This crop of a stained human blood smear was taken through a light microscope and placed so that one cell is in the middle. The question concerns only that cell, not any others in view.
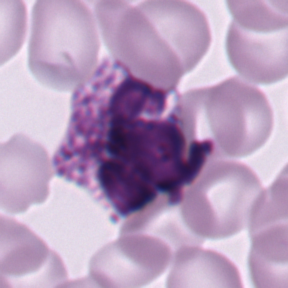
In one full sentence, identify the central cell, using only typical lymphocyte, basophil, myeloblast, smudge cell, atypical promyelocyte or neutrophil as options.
The central cell shown in this smear crop is a basophil.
